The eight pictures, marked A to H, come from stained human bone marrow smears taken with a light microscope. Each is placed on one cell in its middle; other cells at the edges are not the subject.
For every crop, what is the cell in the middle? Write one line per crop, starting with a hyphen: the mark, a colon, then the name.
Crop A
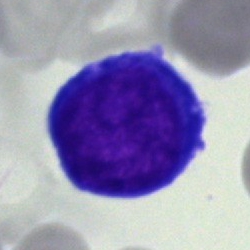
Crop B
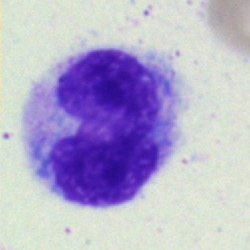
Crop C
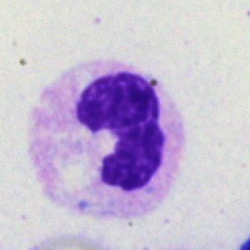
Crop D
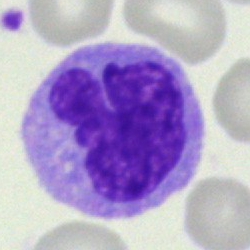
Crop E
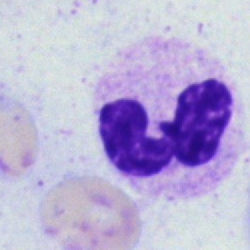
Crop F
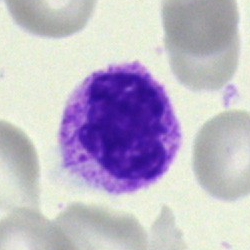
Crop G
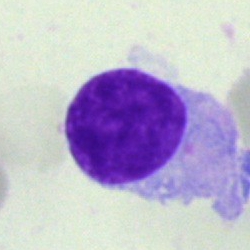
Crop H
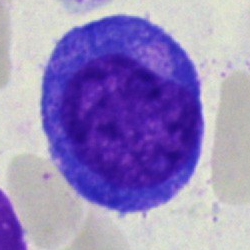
- A: proerythroblast
- B: monocyte
- C: band neutrophil
- D: monocyte
- E: segmented neutrophil
- F: basophil
- G: hairy cell
- H: promyelocyte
